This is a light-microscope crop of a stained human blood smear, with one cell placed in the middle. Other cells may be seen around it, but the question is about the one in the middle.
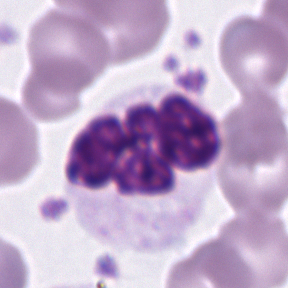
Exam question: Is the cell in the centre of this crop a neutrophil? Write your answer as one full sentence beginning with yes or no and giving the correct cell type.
Yes, that is right: the middle cell is a neutrophil.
